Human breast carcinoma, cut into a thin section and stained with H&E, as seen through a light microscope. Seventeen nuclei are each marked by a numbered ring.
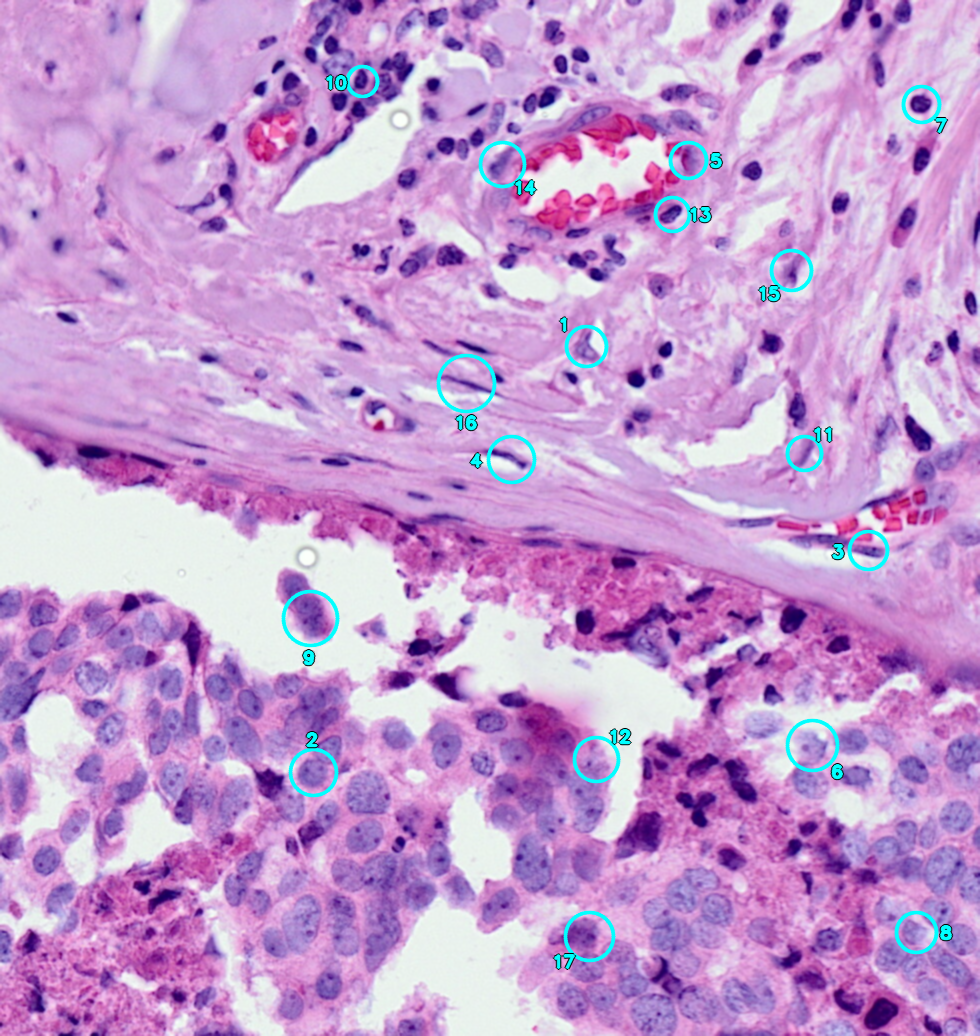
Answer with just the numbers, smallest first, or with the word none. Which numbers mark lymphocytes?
7, 10, 13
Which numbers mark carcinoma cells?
2, 6, 8, 9, 12, 17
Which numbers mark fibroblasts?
1, 4, 11, 15, 16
